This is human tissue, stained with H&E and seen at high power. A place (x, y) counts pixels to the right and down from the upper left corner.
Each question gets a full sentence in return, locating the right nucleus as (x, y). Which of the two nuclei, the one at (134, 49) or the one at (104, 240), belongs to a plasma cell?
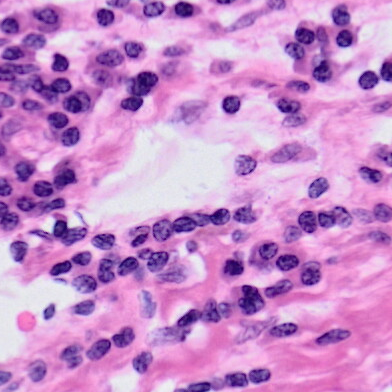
The nucleus at (134, 49) is identified as belonging to a plasma cell.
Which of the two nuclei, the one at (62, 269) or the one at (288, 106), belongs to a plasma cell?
The nucleus at (288, 106) belongs to a plasma cell, which distinguishes it from the other nucleus.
